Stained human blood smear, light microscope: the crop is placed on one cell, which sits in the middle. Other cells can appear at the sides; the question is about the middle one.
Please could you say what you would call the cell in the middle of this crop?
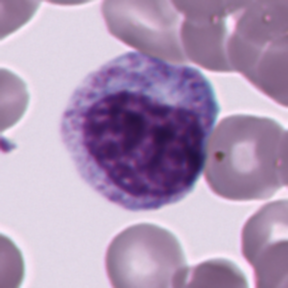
metamyelocyte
